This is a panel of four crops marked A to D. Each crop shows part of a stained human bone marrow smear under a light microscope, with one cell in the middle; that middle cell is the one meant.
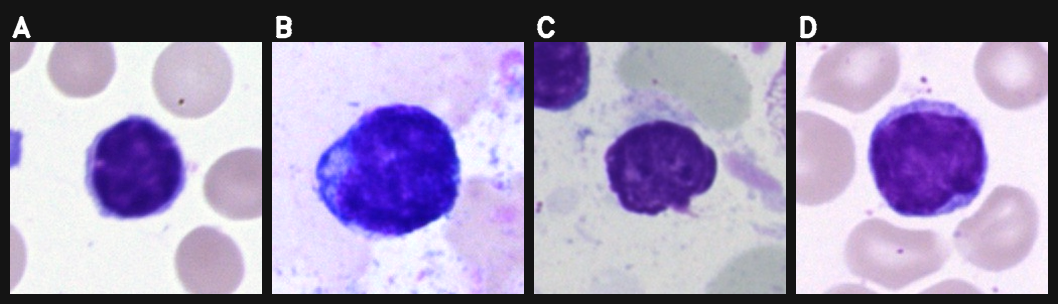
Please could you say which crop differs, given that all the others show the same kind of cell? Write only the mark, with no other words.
B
